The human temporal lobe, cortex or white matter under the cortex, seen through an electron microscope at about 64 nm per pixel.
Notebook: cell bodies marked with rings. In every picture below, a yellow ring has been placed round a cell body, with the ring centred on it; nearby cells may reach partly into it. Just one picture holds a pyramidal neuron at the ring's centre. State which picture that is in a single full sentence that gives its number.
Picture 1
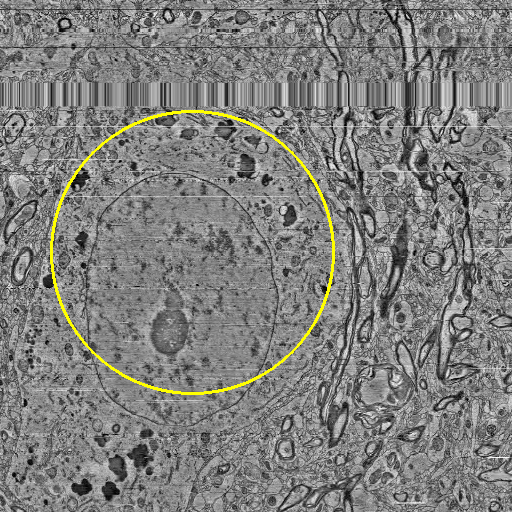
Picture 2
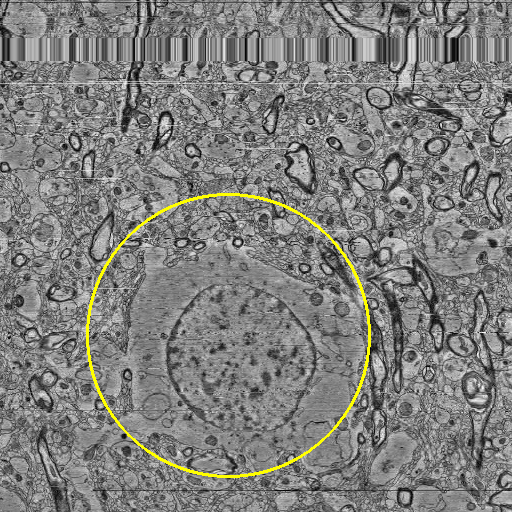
It is picture 1 whose ring has the wanted cell right at its centre.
